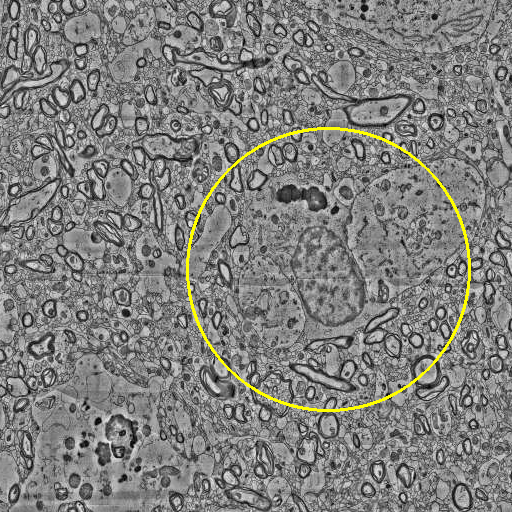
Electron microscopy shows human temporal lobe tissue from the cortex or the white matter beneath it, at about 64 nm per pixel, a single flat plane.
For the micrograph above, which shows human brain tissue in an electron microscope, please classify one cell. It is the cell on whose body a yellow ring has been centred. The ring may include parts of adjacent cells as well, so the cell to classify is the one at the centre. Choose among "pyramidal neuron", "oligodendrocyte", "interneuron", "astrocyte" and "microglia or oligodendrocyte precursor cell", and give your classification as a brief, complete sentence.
I classify this cell as an oligodendrocyte.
